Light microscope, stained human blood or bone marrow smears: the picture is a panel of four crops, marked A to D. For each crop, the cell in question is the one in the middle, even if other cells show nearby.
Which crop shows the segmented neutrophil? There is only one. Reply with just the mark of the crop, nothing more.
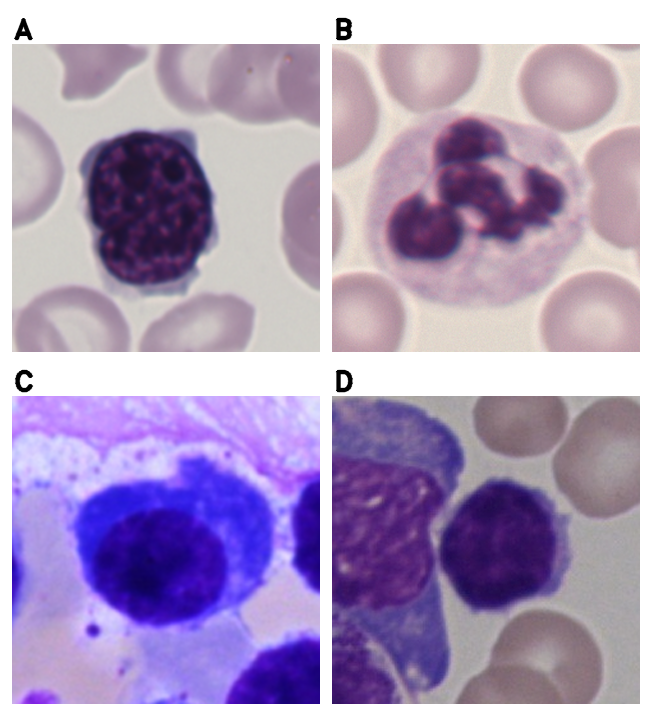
B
